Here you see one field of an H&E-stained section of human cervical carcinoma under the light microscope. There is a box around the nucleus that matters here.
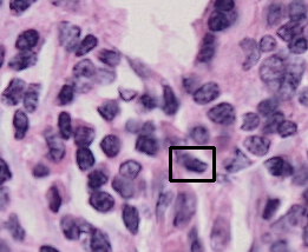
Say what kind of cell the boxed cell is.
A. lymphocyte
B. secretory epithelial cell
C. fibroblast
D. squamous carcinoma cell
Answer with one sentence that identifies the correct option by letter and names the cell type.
As the boxed cell is a lymphocyte, the correct choice is option A.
